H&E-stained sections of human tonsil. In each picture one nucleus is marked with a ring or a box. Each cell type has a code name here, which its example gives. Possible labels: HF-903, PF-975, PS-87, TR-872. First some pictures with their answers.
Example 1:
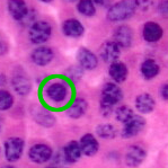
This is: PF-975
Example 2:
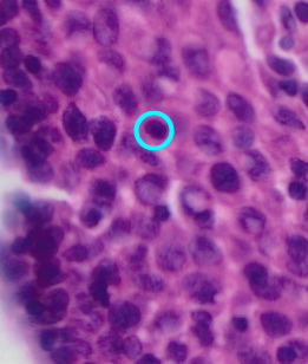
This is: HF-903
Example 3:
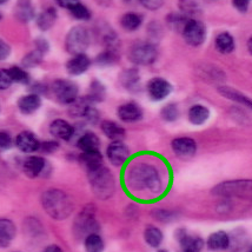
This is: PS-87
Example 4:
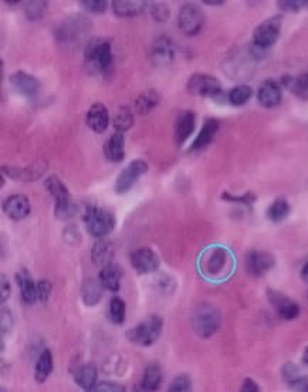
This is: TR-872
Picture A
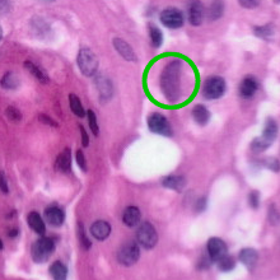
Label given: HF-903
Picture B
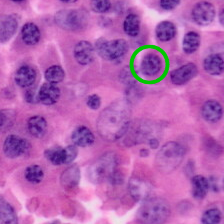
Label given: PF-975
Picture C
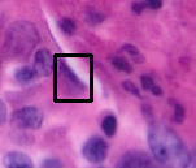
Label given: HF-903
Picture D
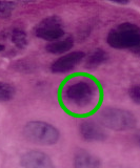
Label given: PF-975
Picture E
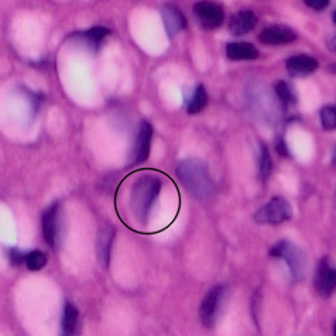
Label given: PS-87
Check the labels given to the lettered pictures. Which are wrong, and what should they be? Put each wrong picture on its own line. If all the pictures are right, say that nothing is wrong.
D should be HF-903, not PF-975
E should be HF-903, not PS-87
